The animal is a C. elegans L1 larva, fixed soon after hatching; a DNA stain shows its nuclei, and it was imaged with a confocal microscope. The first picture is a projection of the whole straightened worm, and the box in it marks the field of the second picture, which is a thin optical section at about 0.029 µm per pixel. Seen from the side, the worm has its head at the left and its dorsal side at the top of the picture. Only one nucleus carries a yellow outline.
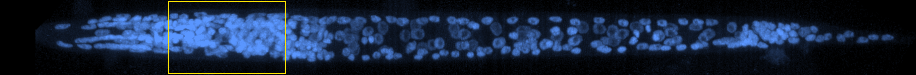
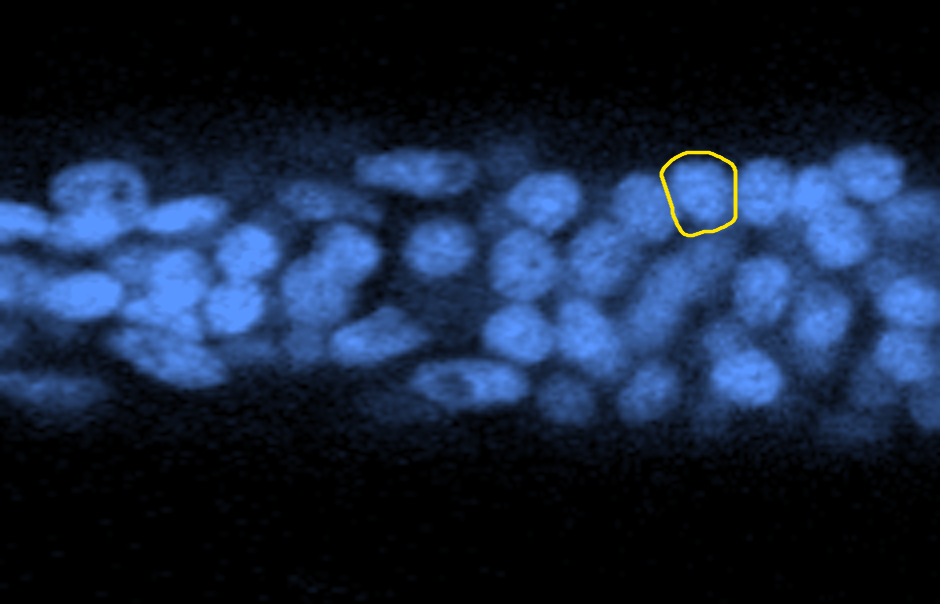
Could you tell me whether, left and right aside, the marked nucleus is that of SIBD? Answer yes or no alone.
no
